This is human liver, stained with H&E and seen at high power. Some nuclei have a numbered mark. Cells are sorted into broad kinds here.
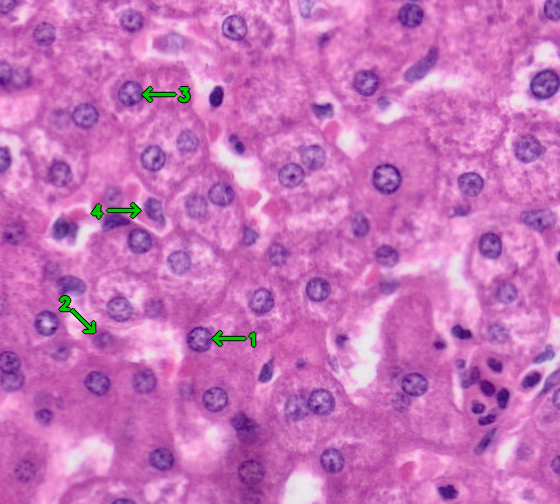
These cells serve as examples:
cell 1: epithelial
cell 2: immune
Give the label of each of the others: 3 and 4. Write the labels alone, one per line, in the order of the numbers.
epithelial
immune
